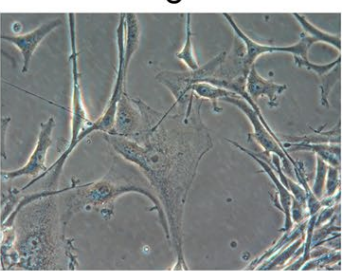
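Some cells are broad and flattened with a pale, spread cytoplasm and a granular region around the nucleus, while others are slender and spindle-shaped. Long, thin processes with bright phase halos run from the cell bodies and meet those of neighbouring cells, forming a loose network. The cells are unevenly spaced, crowding together in some areas and leaving open background in others.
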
